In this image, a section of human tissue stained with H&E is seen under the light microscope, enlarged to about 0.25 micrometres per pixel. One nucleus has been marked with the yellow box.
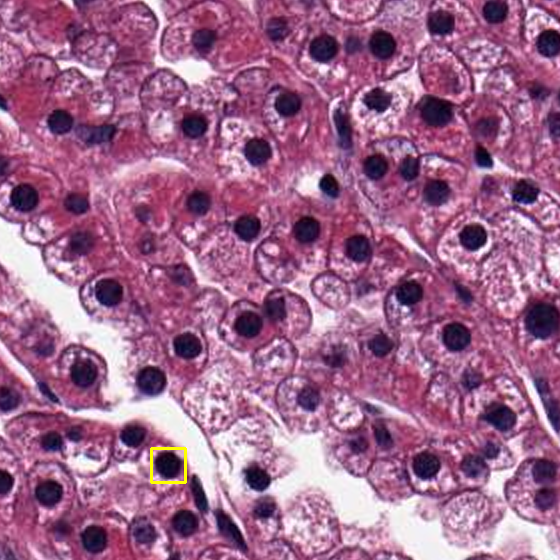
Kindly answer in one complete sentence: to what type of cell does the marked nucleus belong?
The cell bearing the marked nucleus is an adrenal cortical cell.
